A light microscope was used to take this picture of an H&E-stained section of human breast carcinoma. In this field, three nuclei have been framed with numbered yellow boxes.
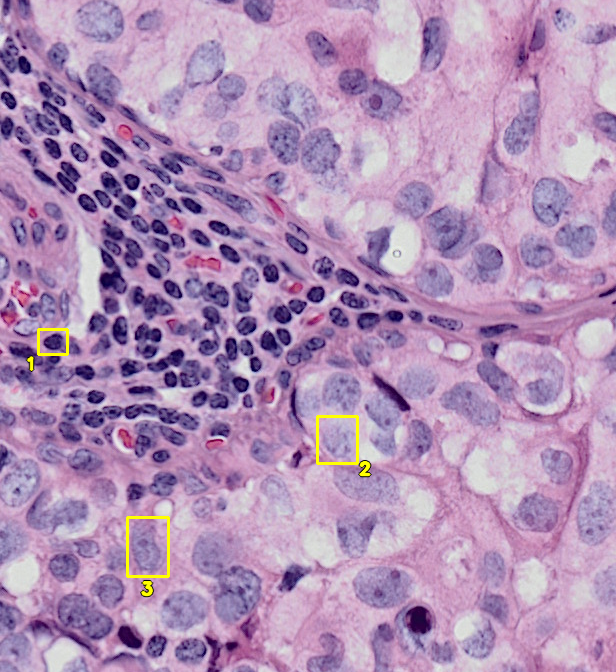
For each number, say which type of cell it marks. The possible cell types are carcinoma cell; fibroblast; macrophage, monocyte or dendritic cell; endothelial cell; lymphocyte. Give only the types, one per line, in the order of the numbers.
lymphocyte
carcinoma cell
carcinoma cell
